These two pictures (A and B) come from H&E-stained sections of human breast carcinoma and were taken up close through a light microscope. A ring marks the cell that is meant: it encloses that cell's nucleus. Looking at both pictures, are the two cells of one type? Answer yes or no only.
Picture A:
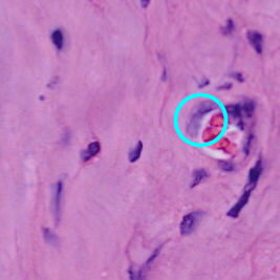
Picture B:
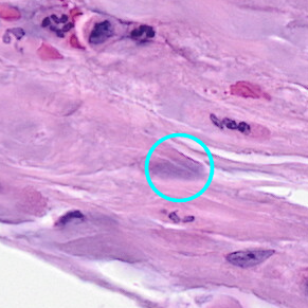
no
